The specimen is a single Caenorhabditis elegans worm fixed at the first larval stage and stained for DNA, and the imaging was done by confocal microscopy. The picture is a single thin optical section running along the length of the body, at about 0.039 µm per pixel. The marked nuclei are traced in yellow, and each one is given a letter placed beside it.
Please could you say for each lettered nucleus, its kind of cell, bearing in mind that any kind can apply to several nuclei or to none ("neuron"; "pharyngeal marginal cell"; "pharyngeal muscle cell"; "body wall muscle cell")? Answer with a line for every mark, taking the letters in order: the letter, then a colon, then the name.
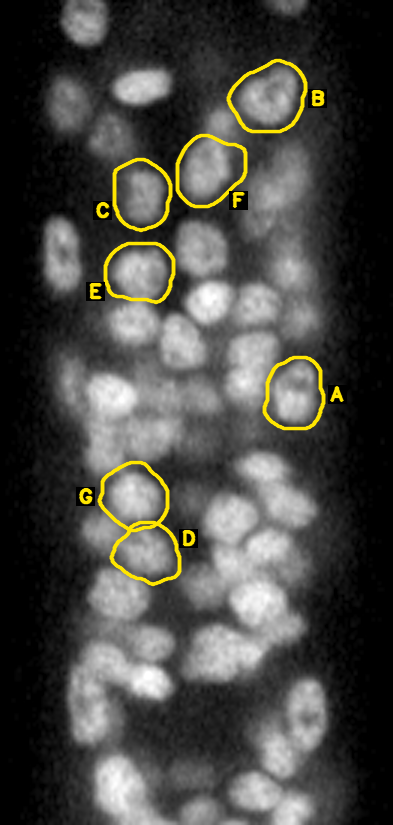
A: body wall muscle cell
B: body wall muscle cell
C: pharyngeal marginal cell
D: neuron
E: neuron
F: pharyngeal muscle cell
G: neuron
